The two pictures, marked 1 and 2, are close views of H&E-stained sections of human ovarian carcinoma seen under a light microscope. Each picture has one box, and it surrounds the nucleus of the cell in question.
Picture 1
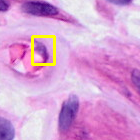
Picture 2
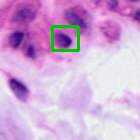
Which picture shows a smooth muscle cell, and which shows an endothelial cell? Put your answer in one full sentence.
The cell in picture 1 is an endothelial cell, and the one in picture 2 is a smooth muscle cell.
